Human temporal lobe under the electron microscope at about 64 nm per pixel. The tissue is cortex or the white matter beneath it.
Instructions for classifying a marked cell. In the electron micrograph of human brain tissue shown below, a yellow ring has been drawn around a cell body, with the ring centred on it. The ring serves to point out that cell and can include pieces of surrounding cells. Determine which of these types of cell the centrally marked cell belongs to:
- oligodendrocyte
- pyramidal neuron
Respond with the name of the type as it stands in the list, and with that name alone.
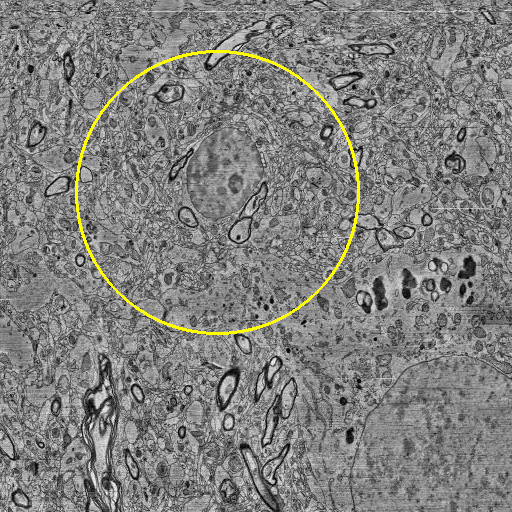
oligodendrocyte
